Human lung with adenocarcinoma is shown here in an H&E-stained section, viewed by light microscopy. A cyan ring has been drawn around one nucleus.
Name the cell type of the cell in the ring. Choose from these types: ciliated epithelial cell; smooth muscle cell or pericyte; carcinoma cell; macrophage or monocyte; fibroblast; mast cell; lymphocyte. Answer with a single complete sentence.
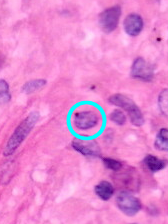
In terms of identity, the cell in the ring is a mast cell.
